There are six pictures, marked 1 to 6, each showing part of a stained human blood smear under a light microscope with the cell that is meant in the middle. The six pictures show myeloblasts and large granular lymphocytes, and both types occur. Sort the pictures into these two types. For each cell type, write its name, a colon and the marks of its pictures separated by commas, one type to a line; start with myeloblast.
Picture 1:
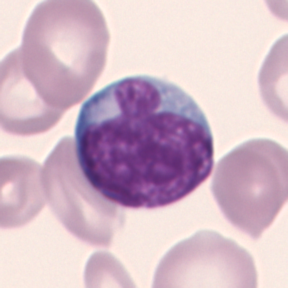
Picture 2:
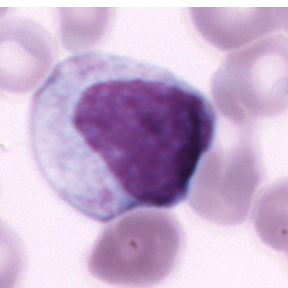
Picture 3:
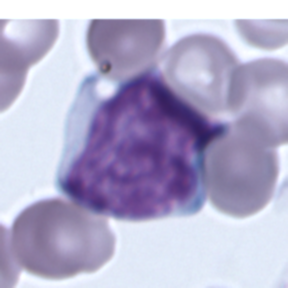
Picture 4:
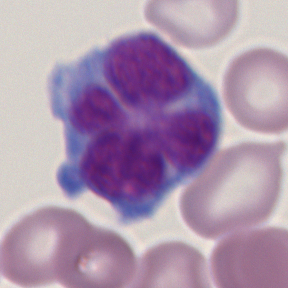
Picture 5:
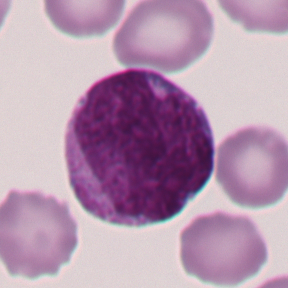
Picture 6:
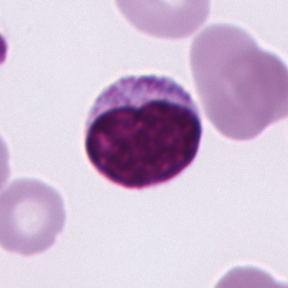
myeloblast: 1, 3, 4, 5
large granular lymphocyte: 2, 6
